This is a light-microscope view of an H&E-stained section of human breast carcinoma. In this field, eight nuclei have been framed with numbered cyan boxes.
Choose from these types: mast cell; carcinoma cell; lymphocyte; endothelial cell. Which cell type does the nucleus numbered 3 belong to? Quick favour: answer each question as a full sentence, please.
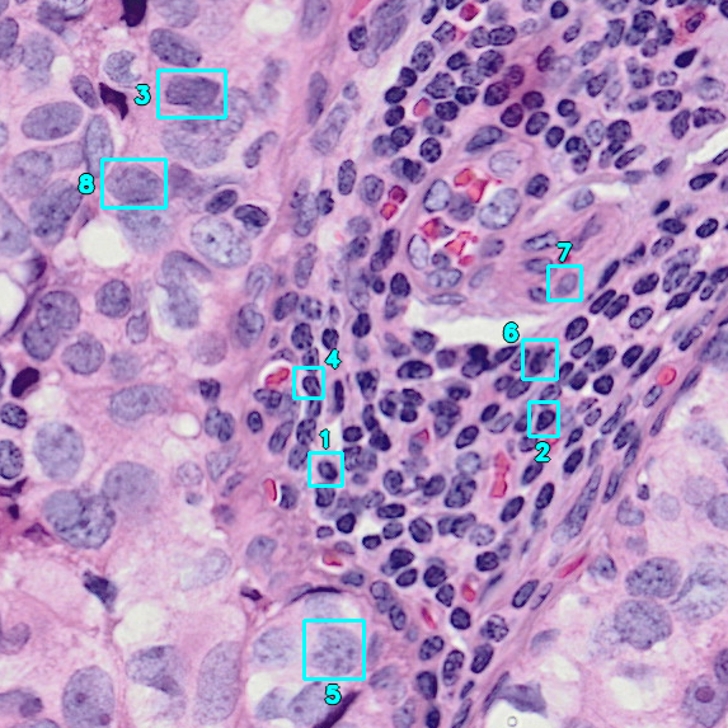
Of the numbered cells, the one labelled 3 is a carcinoma cell.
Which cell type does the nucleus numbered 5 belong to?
The label 5 in this section denotes a carcinoma cell.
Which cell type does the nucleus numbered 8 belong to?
The cell with the number 8 is a carcinoma cell.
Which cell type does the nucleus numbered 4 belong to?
At number 4, the marked cell is a lymphocyte.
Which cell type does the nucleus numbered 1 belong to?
The cell that is numbered 1 is a lymphocyte.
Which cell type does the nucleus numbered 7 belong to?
The one numbered 7 among the marked cells is an endothelial cell.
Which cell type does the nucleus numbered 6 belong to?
The nucleus marked 6 is the nucleus of a lymphocyte.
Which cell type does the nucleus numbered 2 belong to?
In this section, the cell tagged 2 is a lymphocyte.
